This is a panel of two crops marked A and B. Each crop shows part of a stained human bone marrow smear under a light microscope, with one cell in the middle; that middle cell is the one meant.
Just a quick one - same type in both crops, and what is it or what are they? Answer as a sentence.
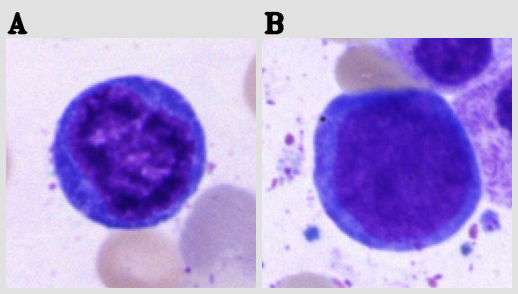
Yes, proerythroblasts are the cells shown in both crops.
